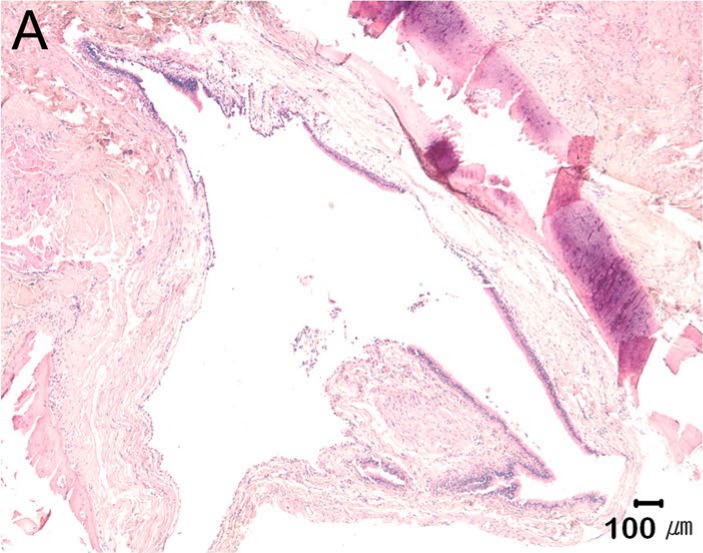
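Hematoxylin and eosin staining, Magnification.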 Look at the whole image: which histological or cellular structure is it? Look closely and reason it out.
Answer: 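A large empty space is enclosed by a wall of pink fibrous tissue. A thin layer of epithelium lines the inner surface of the wall. The answer: cyst.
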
